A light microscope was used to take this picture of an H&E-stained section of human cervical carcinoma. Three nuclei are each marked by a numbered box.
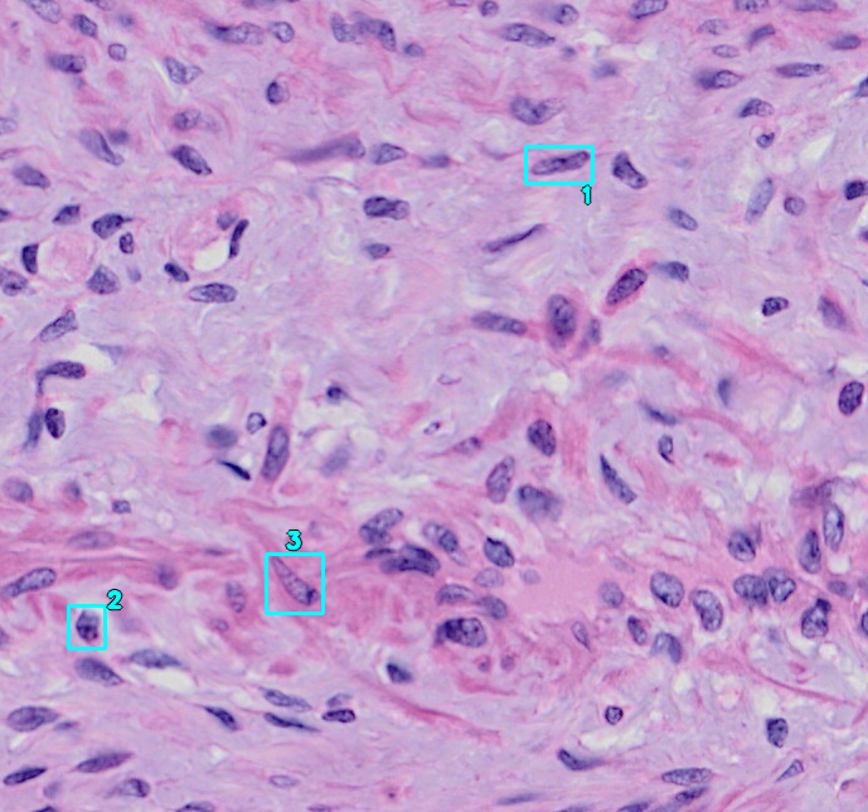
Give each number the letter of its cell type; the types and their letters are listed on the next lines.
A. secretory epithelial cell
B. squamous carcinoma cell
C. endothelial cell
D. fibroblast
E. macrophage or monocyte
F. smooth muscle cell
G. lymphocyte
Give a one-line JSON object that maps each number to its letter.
{"1": "D", "2": "G", "3": "F"}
